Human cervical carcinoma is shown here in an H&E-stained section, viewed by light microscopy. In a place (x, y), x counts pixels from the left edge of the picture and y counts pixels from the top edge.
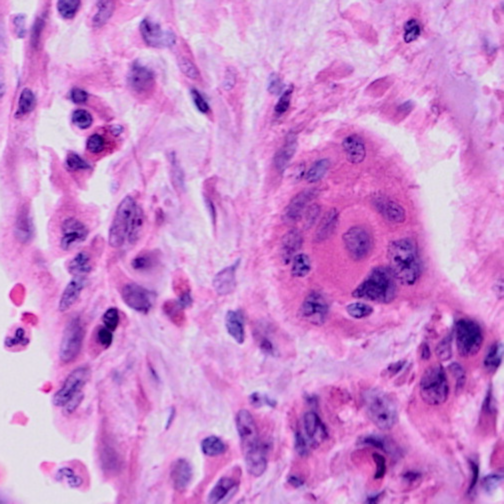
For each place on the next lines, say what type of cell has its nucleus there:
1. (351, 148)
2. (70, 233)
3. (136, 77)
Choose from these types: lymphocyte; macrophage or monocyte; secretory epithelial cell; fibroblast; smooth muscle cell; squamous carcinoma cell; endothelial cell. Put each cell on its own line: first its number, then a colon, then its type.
1: squamous carcinoma cell
2: macrophage or monocyte
3: fibroblast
